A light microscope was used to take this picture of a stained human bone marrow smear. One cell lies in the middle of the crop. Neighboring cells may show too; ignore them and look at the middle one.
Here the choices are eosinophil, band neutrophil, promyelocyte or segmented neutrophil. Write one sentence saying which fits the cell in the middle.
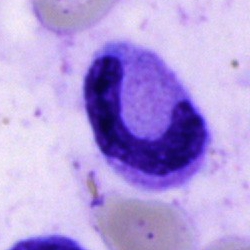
This crop has a band neutrophil at its centre.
